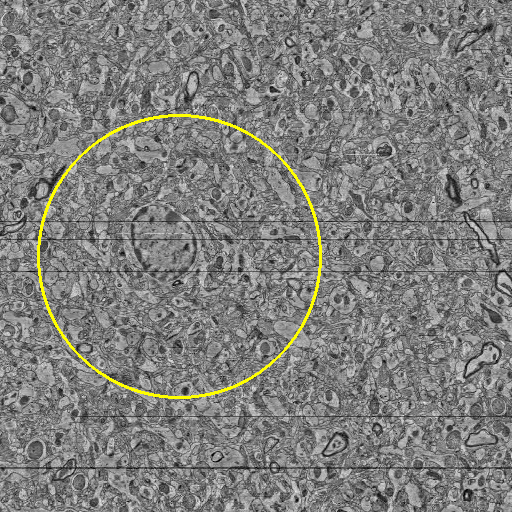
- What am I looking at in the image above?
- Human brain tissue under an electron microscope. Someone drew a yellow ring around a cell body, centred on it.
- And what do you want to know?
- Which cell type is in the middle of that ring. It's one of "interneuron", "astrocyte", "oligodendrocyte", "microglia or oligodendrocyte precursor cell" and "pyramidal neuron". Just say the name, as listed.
microglia or oligodendrocyte precursor cell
